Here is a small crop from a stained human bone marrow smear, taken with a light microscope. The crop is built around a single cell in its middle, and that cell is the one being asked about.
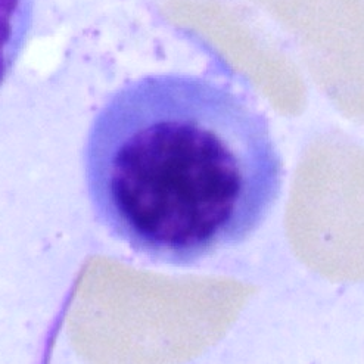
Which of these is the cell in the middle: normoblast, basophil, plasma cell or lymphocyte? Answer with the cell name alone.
normoblast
